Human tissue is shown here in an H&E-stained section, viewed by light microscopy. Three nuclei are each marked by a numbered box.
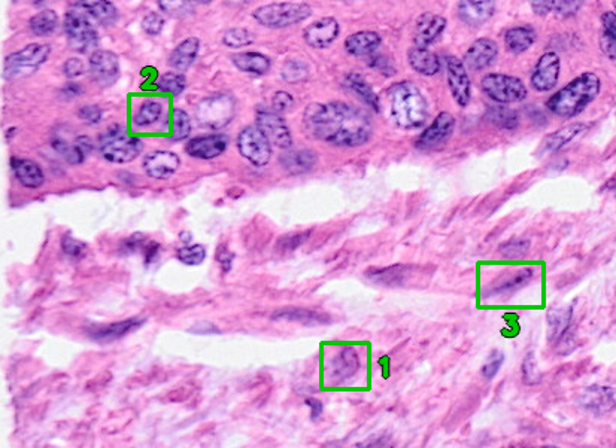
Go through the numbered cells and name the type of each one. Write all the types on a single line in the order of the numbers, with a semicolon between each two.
fibroblast; squamous carcinoma cell; fibroblast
